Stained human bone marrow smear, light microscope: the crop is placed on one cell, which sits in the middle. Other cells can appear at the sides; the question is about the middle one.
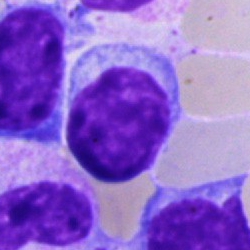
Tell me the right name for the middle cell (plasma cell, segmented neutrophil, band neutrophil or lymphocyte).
lymphocyte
